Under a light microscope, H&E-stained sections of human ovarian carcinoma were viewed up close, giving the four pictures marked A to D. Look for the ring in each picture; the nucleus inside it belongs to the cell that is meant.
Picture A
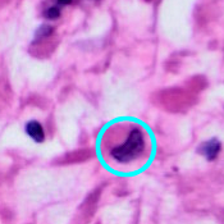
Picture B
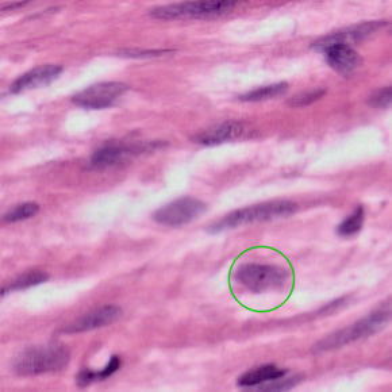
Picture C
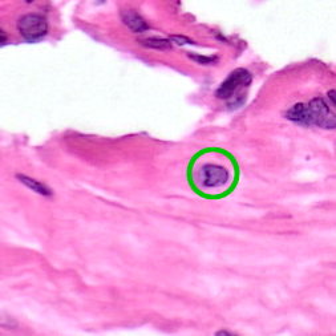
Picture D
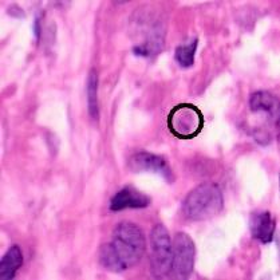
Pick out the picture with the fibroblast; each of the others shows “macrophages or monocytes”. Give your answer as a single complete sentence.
It is picture B that shows the fibroblast.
